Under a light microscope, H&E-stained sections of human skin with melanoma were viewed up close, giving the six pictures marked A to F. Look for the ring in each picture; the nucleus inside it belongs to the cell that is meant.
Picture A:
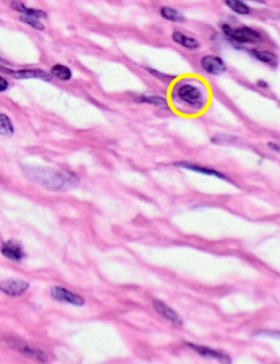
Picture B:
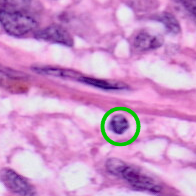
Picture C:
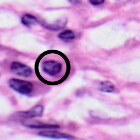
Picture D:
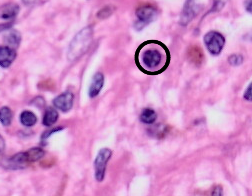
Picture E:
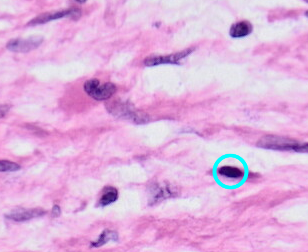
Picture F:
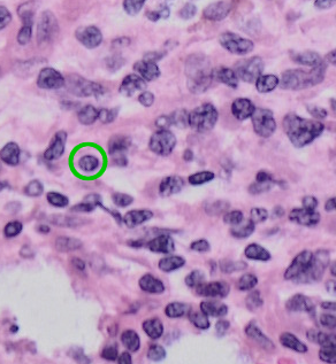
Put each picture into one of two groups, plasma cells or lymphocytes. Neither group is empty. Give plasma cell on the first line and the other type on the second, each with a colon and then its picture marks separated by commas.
plasma cell: A, C, D, E
lymphocyte: B, F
